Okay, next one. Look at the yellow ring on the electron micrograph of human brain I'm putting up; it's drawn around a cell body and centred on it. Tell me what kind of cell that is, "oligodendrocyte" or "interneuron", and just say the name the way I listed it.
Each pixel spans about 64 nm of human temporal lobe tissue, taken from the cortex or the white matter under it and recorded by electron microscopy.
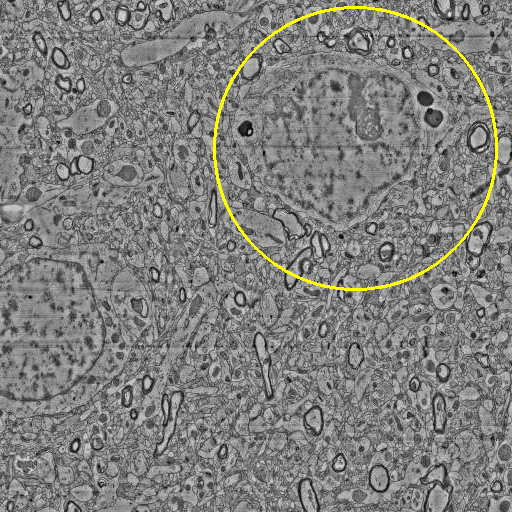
interneuron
